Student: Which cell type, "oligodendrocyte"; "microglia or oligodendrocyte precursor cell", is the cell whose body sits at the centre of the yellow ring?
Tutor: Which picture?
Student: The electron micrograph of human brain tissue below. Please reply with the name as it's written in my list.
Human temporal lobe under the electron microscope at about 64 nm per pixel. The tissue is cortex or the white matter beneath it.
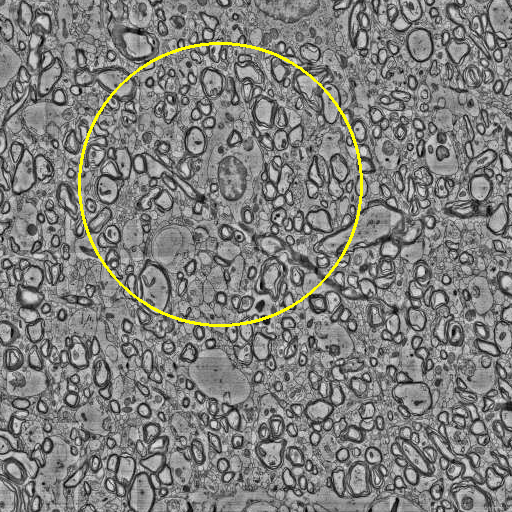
microglia or oligodendrocyte precursor cell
